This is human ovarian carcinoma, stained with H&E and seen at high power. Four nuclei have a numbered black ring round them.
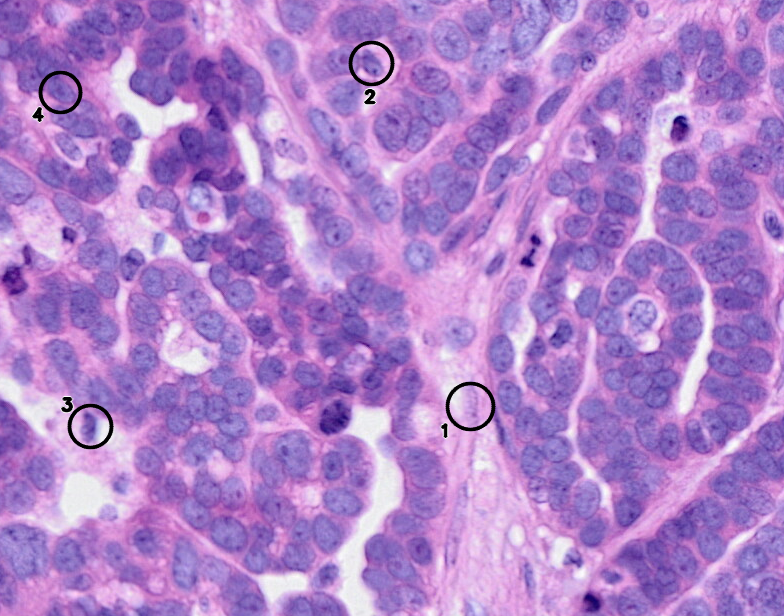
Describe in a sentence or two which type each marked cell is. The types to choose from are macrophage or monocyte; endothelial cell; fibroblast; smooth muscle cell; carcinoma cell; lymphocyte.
Cell 1 is a fibroblast, cell 2 is a macrophage or monocyte, cell 3 is a macrophage or monocyte and cell 4 is a carcinoma cell.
